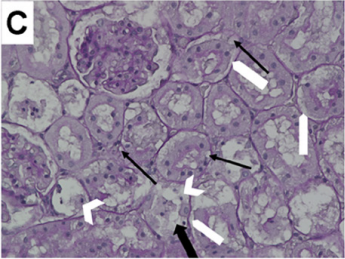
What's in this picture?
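This is renal cortex with a glomerulus at upper left surrounded by cross-sections of tubules lined by cuboidal epithelial cells with round nuclei. Many tubular cells are pale and full of clear vacuoles, some epithelium is lifted away from the magenta-outlined basement membrane, and the luminal magenta border is lost in places. A few cells have small dark condensed nuclei.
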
